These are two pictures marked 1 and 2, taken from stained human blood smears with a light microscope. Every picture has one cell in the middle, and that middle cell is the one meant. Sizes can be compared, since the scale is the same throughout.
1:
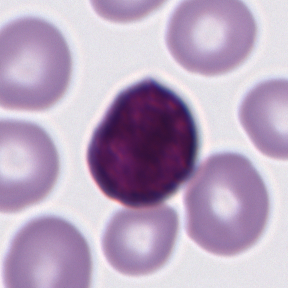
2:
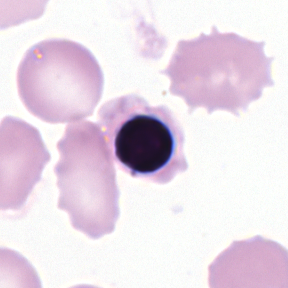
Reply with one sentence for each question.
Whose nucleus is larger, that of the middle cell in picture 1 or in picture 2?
Larger is the nucleus in picture 1, at roughly 4 times the area of the other.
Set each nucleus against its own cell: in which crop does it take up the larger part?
Of the two, the nucleus in picture 1 makes up the greater part of its cell.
